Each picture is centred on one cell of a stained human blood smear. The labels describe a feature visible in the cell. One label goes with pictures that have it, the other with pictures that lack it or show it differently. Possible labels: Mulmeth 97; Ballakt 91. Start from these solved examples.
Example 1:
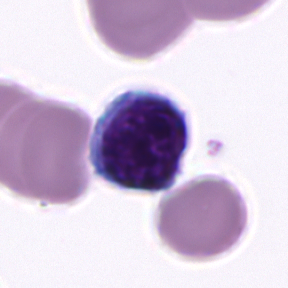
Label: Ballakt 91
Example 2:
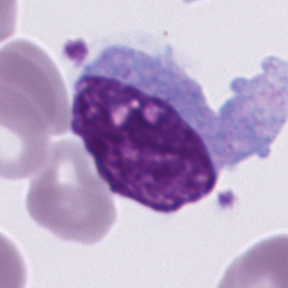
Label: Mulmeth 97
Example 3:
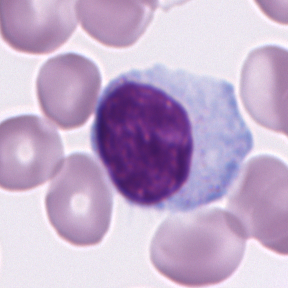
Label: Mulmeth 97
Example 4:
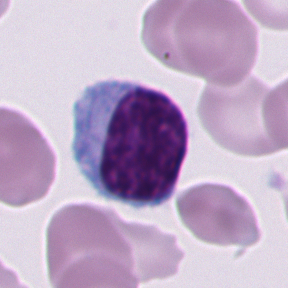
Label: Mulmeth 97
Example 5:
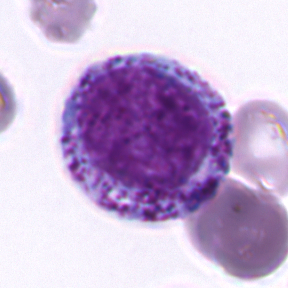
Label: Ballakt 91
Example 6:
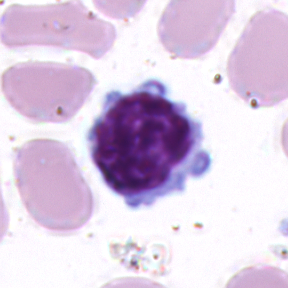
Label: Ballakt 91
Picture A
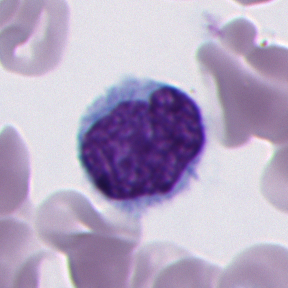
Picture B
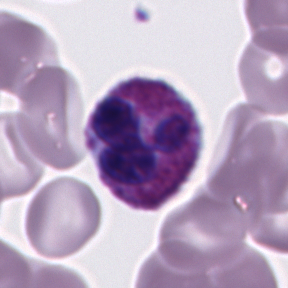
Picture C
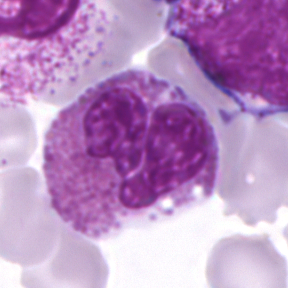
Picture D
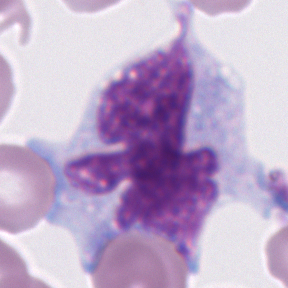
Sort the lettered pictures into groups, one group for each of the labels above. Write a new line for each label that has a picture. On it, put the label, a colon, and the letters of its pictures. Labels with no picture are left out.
Mulmeth 97: B, C, D
Ballakt 91: A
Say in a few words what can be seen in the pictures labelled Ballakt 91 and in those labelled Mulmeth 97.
Ballakt 91: scant cytoplasm; Mulmeth 97: abundant cytoplasm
